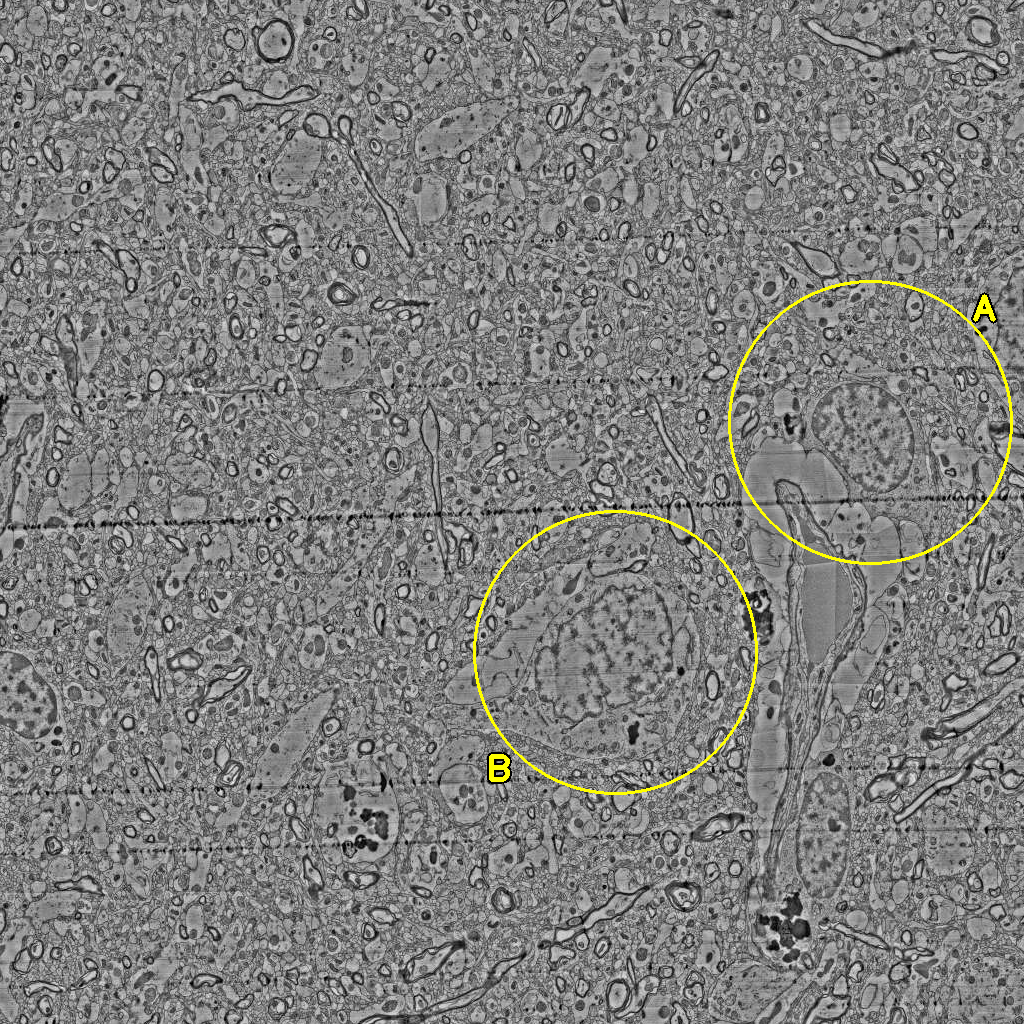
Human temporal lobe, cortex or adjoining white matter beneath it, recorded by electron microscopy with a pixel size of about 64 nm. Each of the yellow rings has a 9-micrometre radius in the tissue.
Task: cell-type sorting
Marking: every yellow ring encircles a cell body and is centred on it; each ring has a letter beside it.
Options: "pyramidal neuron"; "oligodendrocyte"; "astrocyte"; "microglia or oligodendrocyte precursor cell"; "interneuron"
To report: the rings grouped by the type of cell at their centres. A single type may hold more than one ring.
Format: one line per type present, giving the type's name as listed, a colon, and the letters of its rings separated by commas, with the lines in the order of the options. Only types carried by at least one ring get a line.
oligodendrocyte: A
interneuron: B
